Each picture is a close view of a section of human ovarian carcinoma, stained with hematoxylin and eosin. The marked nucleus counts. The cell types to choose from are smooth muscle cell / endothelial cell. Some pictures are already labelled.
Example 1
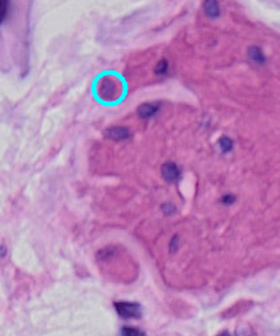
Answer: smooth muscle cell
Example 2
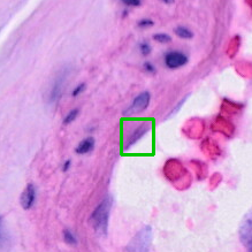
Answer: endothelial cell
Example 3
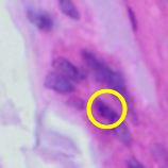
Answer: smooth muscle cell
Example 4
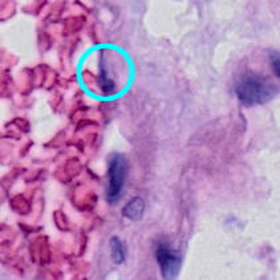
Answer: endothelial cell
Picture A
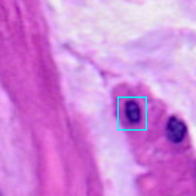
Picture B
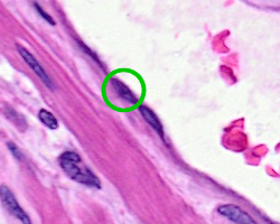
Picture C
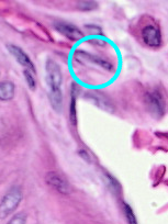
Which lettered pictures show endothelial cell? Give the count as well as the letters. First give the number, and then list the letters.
2: B, C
